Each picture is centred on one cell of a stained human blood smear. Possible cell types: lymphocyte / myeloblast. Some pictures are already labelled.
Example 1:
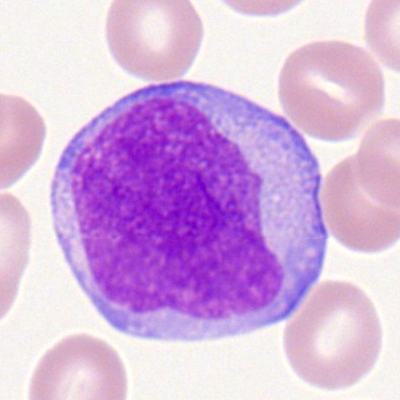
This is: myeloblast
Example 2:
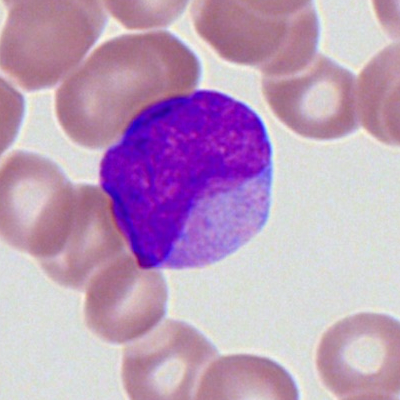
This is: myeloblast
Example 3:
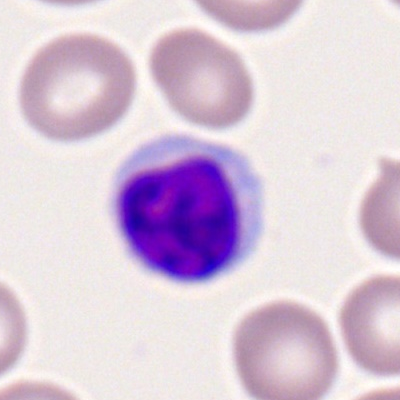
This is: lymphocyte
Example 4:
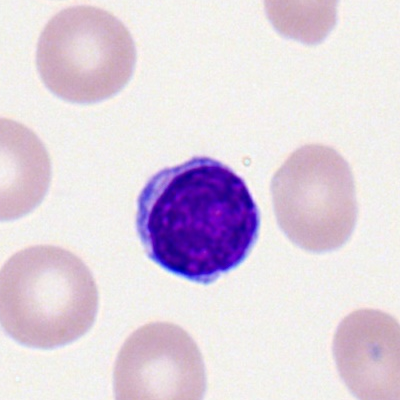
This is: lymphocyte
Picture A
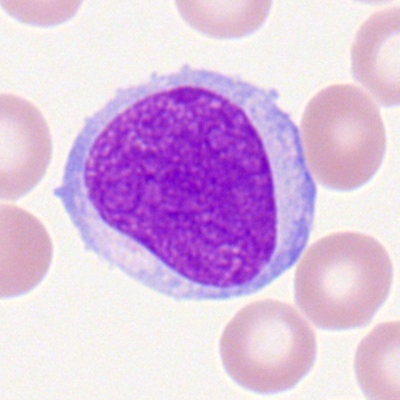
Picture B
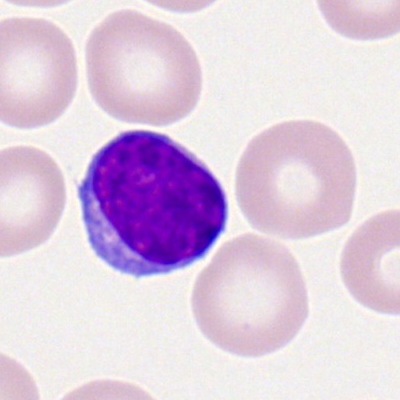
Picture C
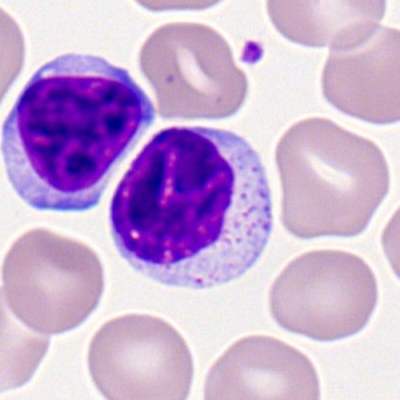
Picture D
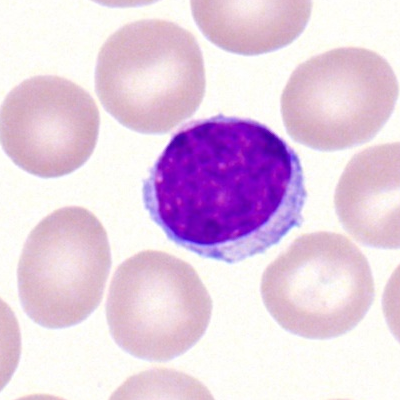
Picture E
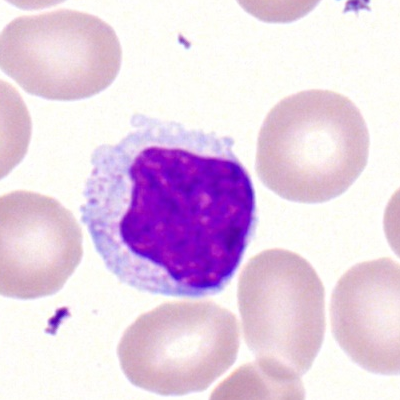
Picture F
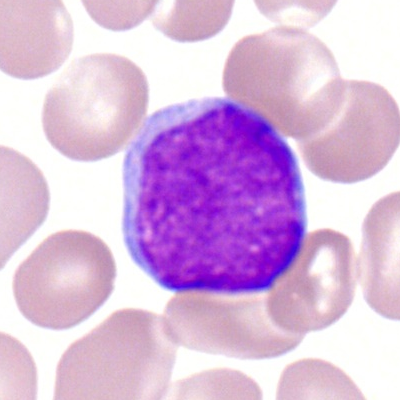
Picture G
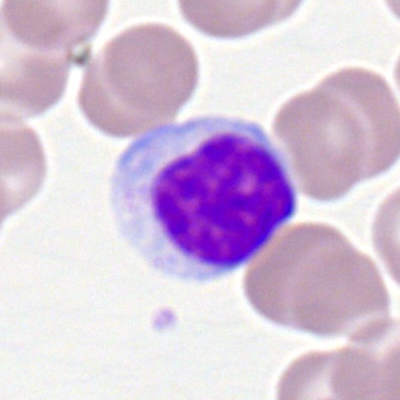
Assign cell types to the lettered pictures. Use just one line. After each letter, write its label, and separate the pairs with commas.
A myeloblast, B lymphocyte, C lymphocyte, D lymphocyte, E lymphocyte, F myeloblast, G lymphocyte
